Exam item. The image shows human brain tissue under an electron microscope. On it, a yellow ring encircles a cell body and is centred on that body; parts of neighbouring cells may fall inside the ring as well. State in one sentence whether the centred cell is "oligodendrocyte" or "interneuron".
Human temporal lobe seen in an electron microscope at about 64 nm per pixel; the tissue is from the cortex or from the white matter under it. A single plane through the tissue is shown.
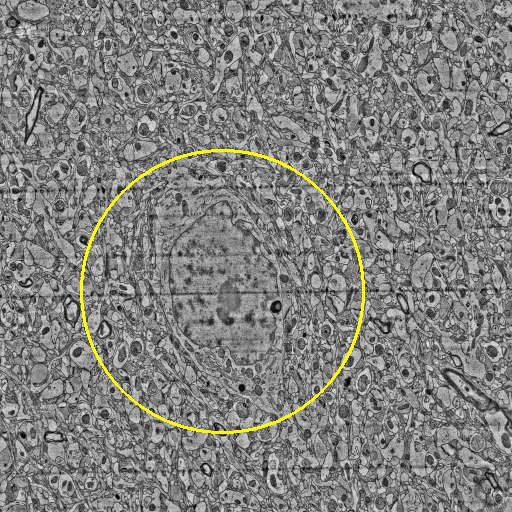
The cell body centred in the ring is an interneuron.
